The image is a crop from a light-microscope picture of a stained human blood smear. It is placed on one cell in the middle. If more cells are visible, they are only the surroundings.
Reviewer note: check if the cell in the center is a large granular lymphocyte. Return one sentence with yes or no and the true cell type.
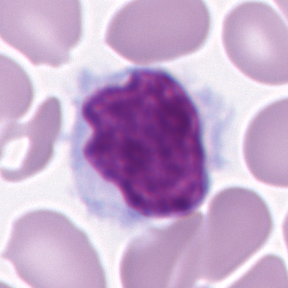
No, the central cell is a hairy cell, not a large granular lymphocyte.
